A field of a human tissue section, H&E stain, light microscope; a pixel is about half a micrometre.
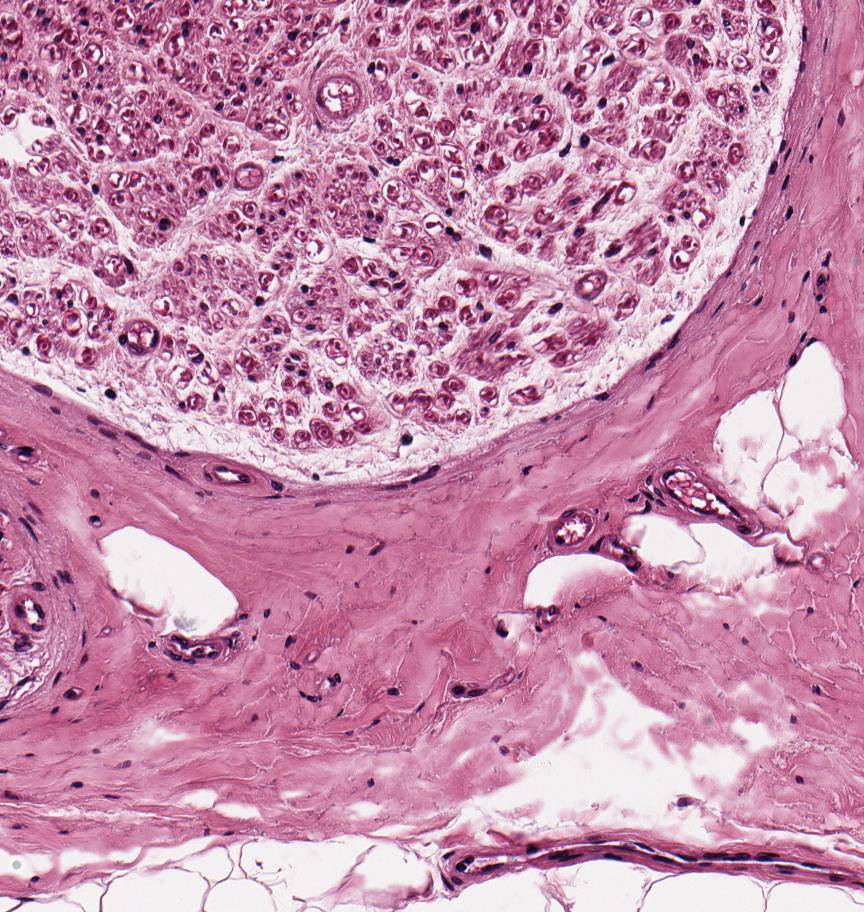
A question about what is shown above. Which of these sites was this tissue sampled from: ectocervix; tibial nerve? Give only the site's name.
tibial nerve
